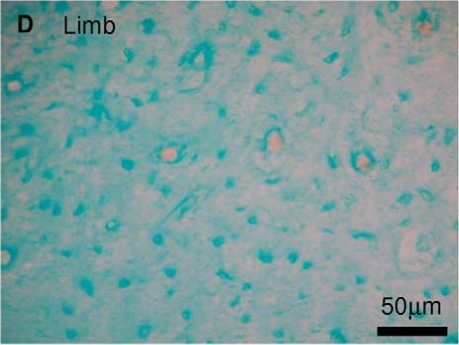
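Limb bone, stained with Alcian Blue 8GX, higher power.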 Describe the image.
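The osteocytes appear as small, dark blue-green bodies and are densely and fairly evenly spread throughout the field. They lie singly and are separated from one another by matrix. The matrix between them takes a light blue tint. Several small round spaces with a pale pink content are scattered among the cells.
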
